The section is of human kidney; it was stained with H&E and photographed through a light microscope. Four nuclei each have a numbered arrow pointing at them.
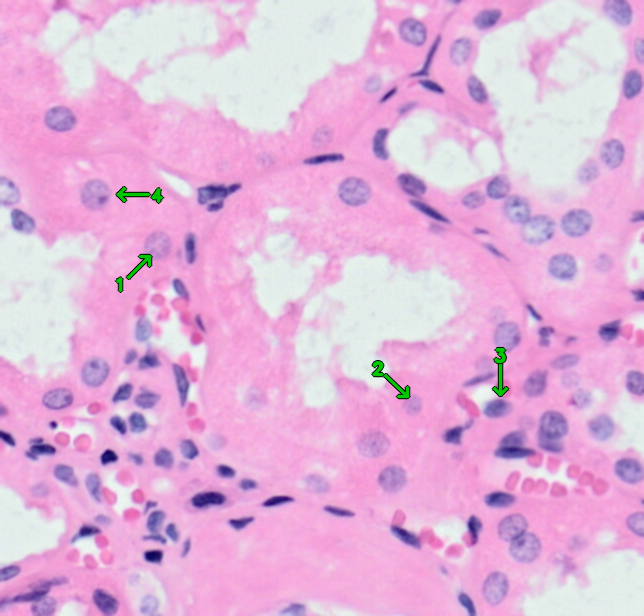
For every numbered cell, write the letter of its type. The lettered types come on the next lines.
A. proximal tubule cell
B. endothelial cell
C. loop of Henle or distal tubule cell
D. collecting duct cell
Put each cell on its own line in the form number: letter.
1: A
2: A
3: B
4: A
